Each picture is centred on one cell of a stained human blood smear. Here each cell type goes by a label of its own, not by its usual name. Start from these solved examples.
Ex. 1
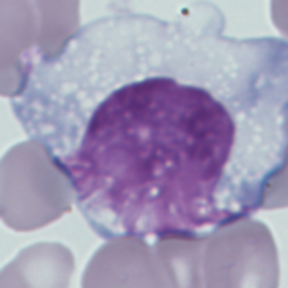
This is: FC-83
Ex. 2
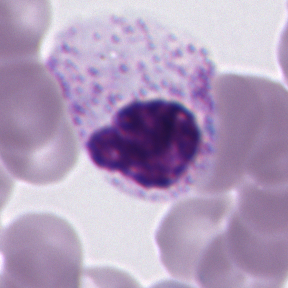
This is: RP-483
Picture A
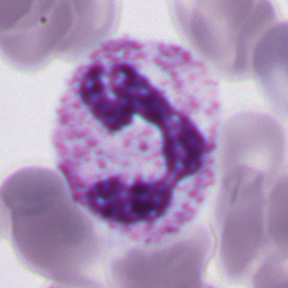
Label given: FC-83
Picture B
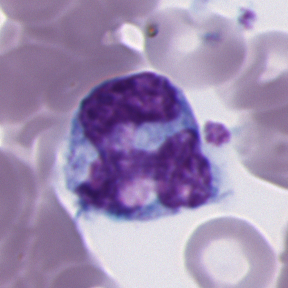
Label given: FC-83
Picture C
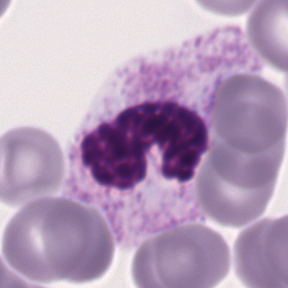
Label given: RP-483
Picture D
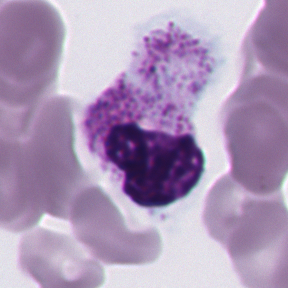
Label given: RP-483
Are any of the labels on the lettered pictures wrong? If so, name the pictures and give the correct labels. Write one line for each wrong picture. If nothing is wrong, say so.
A: RP-483, not FC-83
